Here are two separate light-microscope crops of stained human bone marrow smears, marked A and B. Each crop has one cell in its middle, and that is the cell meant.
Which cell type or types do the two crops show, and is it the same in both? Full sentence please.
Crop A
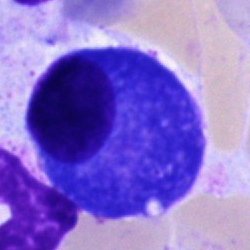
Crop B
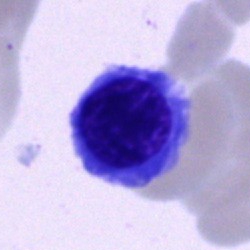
No, crop A is where a plasma cell is, and crop B is where a normoblast is.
